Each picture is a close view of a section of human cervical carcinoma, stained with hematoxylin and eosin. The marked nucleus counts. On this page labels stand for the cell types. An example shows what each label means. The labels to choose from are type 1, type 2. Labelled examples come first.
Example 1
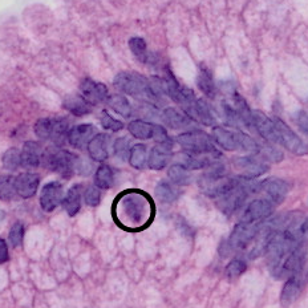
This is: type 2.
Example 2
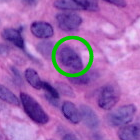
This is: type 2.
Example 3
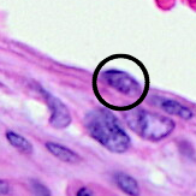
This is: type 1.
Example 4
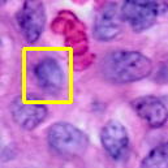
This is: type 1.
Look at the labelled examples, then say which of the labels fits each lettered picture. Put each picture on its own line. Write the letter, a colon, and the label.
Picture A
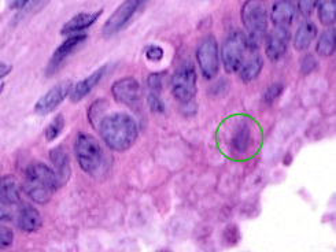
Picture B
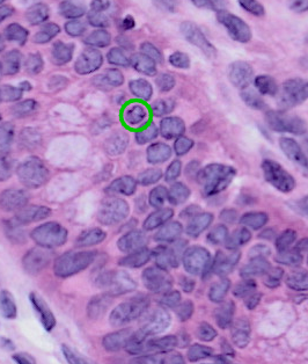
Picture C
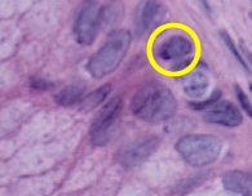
A: type 2.
B: type 2.
C: type 2.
